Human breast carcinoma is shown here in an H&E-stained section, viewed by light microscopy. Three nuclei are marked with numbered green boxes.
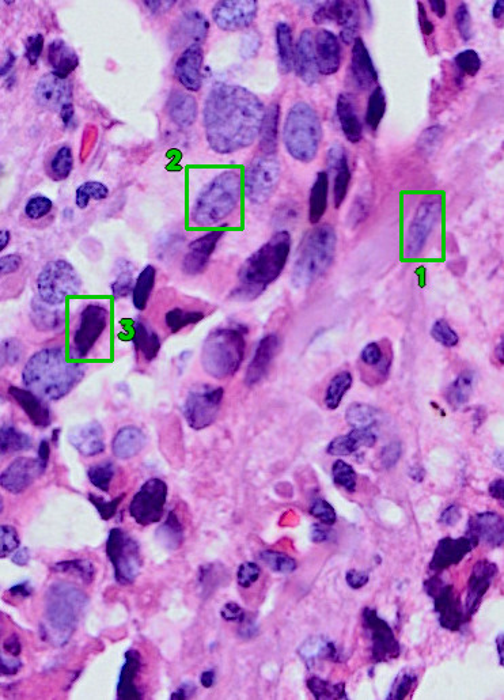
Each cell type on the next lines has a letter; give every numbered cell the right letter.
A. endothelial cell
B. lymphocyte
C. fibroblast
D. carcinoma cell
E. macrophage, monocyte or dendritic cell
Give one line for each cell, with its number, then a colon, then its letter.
1: C
2: D
3: D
